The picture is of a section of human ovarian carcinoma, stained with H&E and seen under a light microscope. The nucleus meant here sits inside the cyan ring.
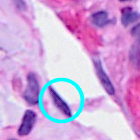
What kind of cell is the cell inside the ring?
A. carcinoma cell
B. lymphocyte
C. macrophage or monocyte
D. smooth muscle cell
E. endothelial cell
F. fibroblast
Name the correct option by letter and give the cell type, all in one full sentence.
In agreement with option E, the cell inside the ring is an endothelial cell.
